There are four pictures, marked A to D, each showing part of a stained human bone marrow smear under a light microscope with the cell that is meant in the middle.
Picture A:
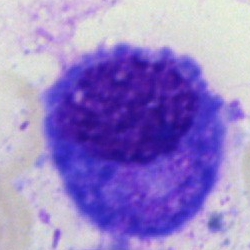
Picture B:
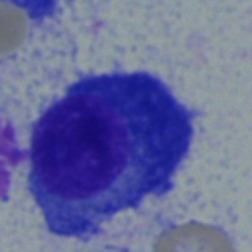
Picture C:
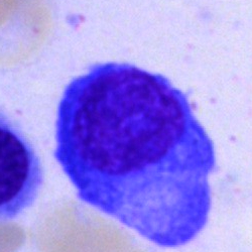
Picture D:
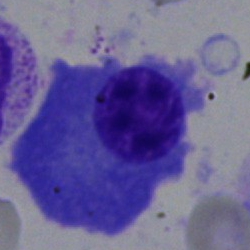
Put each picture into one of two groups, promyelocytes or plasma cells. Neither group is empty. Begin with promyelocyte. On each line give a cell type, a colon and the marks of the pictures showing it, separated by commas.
promyelocyte: A
plasma cell: B, C, D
